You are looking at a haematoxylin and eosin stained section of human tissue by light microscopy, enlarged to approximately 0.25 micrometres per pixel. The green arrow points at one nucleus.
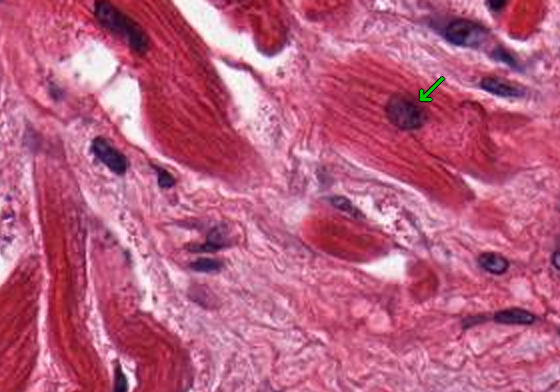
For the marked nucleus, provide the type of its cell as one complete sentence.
The nucleus marked in the section is that of a cardiomyocyte.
